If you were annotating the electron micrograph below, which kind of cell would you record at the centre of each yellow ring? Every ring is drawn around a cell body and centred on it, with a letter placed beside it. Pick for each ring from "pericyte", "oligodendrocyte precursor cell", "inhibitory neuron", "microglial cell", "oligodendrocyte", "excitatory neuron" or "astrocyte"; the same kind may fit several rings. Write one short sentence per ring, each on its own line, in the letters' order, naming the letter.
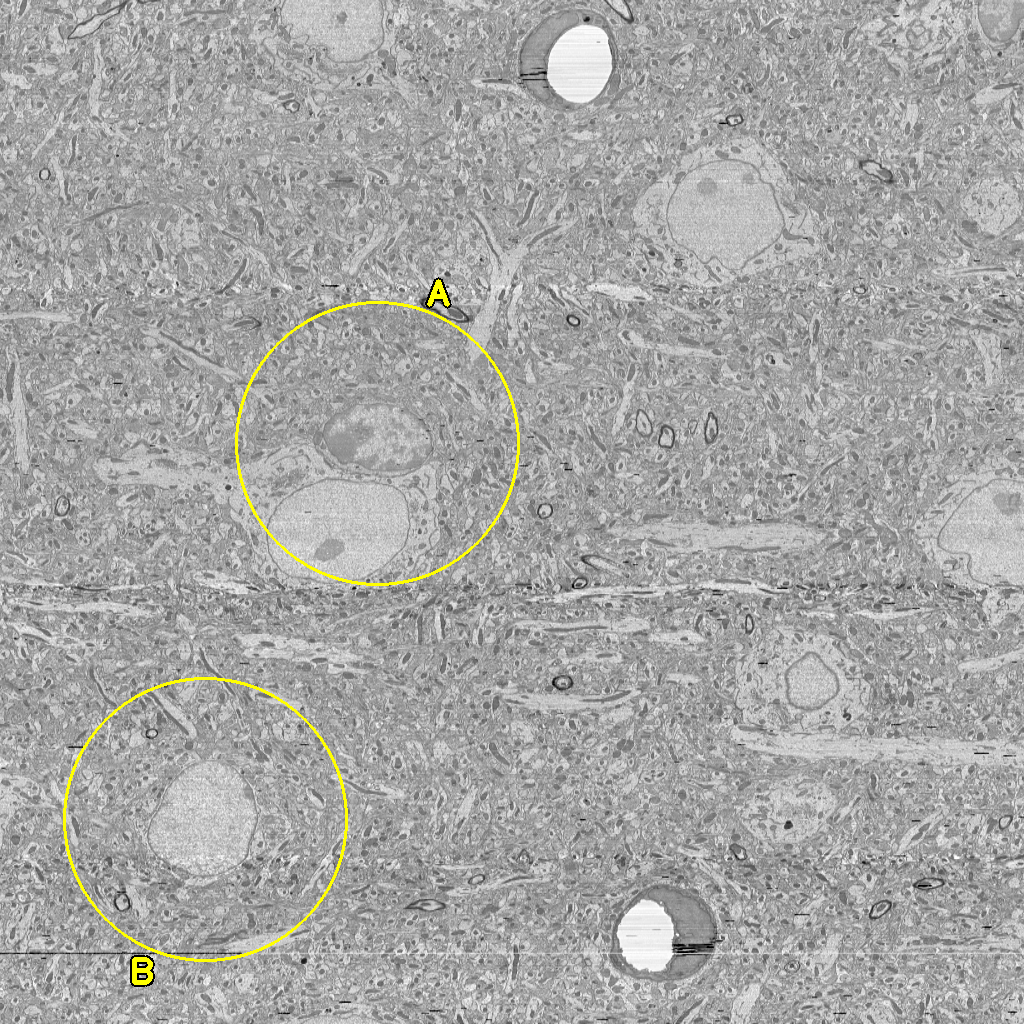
For ring A, I would record an oligodendrocyte.
For ring B, I would record an astrocyte.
